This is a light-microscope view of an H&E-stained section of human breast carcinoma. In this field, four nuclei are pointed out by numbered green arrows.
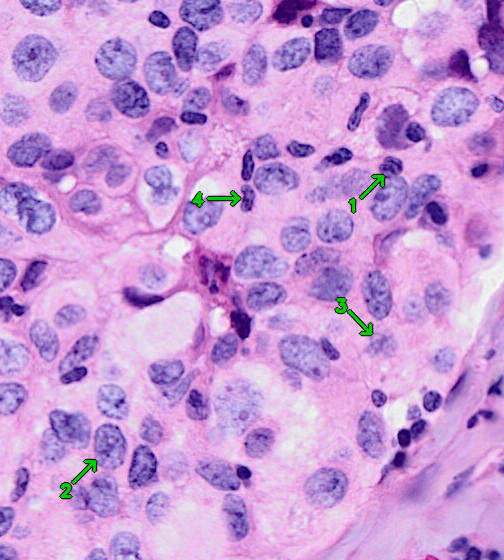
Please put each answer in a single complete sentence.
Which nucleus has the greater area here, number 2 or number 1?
It is nucleus 2, which covers about 3 times the area of nucleus 1.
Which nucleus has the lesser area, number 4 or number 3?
Nucleus 4 is the smaller one; nucleus 3 covers about 2 times its area.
